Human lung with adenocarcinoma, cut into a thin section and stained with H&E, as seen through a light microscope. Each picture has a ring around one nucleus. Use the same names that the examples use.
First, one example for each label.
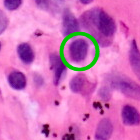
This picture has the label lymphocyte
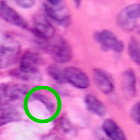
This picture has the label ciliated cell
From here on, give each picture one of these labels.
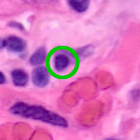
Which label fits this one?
lymphocyte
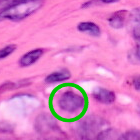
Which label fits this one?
ciliated cell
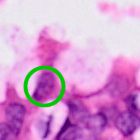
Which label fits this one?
ciliated cell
